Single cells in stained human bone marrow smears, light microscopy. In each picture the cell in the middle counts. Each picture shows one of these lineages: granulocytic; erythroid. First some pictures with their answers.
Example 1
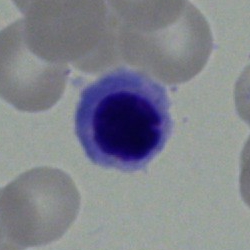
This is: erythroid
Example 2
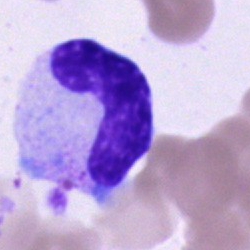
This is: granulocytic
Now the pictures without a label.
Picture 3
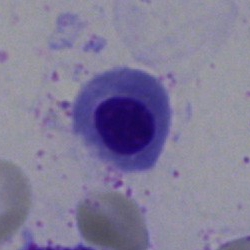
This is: erythroid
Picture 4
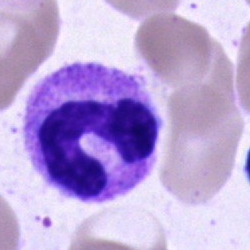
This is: granulocytic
